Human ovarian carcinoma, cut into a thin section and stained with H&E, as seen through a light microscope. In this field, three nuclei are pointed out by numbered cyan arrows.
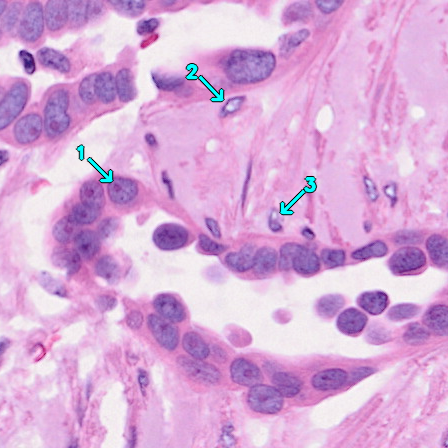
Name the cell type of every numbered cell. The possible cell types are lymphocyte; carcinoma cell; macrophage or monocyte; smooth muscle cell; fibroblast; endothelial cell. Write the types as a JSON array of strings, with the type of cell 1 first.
["carcinoma cell", "fibroblast", "fibroblast"]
